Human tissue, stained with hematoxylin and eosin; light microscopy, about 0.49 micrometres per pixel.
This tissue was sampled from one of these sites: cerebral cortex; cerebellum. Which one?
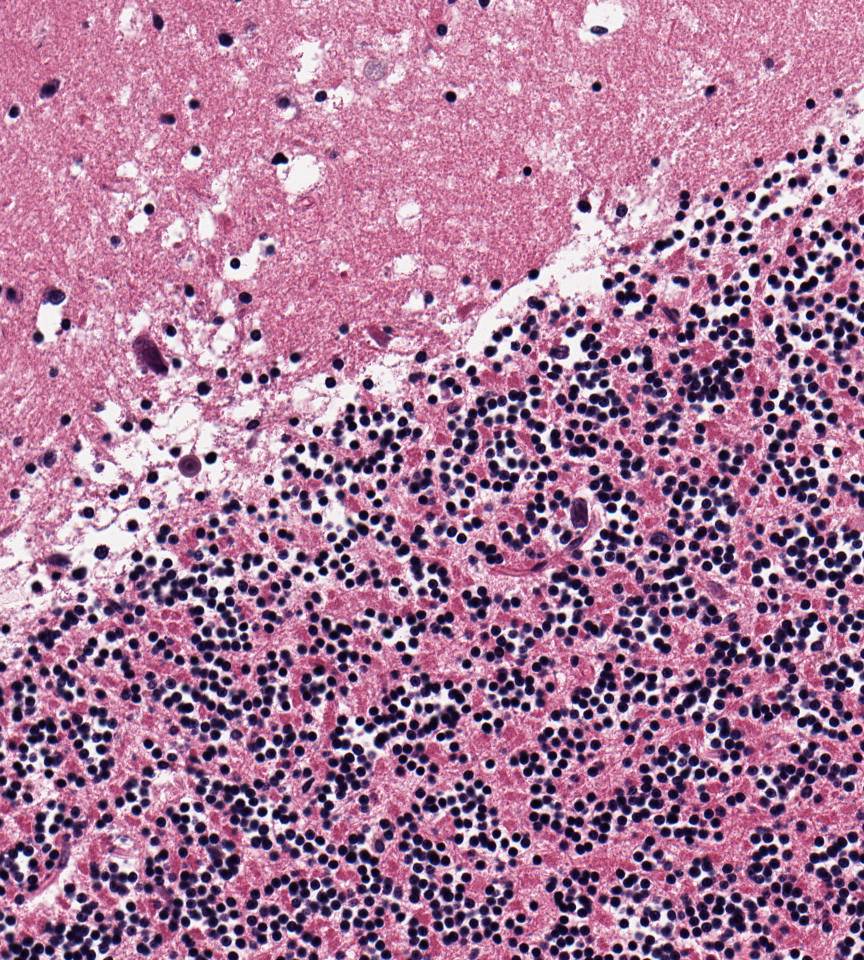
cerebellum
